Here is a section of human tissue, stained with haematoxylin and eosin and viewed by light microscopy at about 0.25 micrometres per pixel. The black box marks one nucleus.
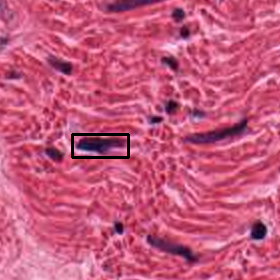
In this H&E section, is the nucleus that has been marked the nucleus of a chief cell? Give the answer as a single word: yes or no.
no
